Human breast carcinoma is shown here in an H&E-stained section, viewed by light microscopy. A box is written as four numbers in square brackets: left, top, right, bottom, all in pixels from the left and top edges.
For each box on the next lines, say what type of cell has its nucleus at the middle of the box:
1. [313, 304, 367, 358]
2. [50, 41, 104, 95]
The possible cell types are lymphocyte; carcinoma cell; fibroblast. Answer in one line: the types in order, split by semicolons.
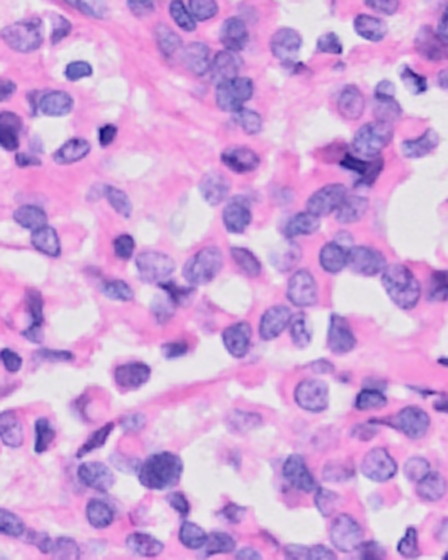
carcinoma cell; lymphocyte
